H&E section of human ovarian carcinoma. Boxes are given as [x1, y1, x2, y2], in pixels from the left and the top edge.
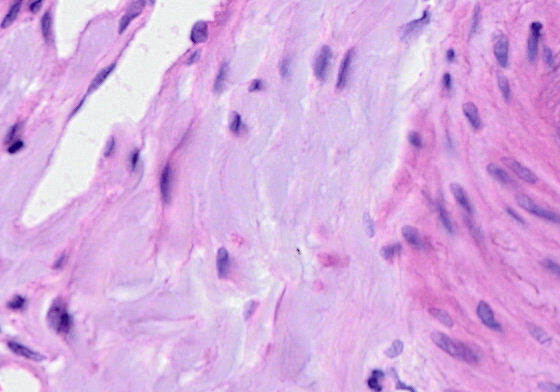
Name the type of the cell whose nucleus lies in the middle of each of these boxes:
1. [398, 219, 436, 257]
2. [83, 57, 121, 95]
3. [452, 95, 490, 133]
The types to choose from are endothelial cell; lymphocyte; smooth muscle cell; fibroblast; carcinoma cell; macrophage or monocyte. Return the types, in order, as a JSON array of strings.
["smooth muscle cell", "endothelial cell", "smooth muscle cell"]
